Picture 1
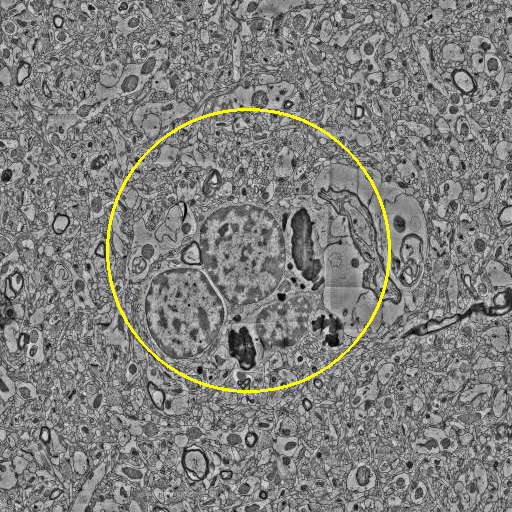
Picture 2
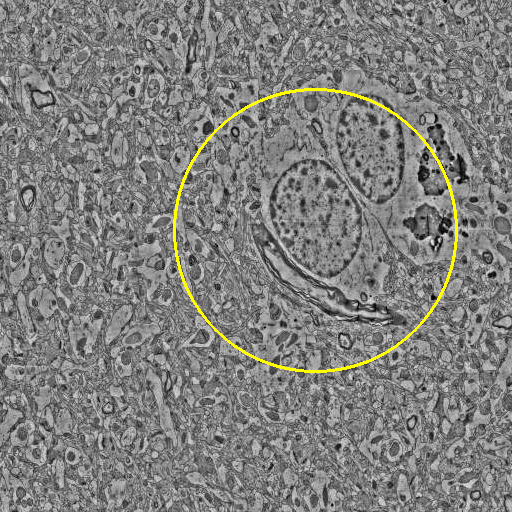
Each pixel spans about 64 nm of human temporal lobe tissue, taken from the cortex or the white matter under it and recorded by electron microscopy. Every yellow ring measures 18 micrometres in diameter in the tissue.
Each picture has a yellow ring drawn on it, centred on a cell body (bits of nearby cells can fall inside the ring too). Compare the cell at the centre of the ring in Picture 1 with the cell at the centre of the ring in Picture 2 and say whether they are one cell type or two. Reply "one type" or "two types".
two types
